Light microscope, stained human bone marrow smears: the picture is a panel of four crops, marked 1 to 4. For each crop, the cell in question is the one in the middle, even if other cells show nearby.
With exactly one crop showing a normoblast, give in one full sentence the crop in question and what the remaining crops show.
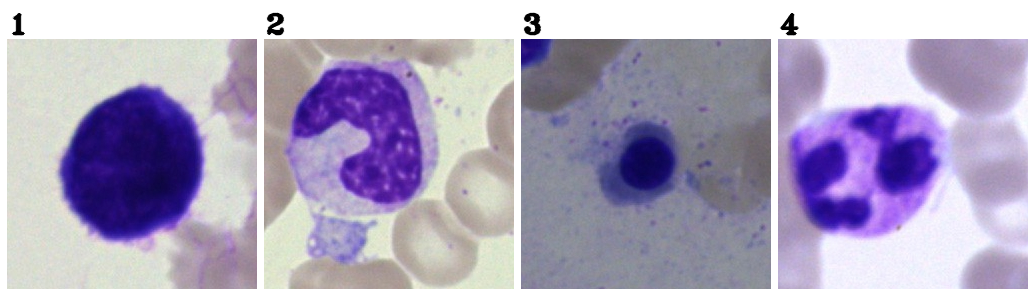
Concerning crop 3, the cell shown is a normoblast, whereas crop 1 is a blast, crop 2 is a band neutrophil and crop 4 is a segmented neutrophil.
